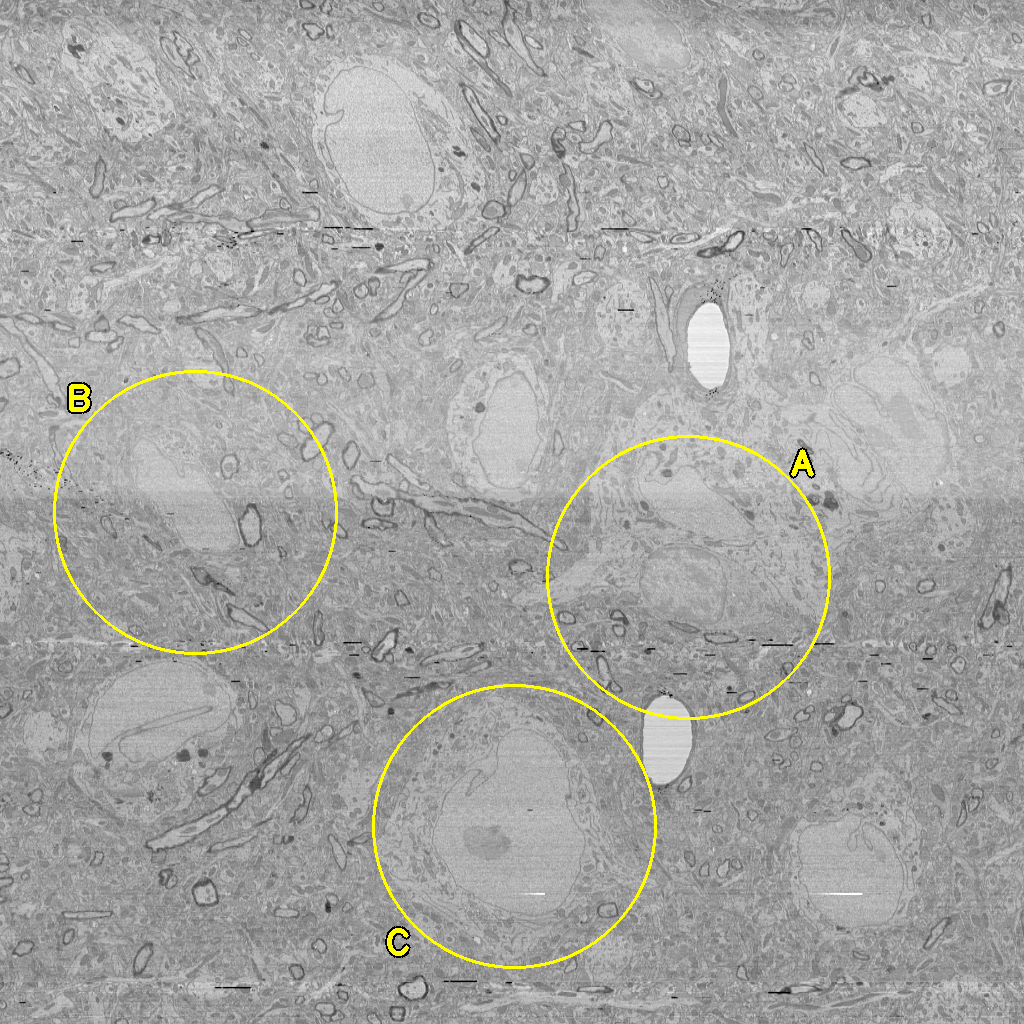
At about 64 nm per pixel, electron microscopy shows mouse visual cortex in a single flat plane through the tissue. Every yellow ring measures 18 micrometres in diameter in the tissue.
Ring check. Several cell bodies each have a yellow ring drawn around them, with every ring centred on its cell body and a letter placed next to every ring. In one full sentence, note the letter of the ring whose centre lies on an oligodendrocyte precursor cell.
At the centre of ring B lies the cell asked for in this check.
